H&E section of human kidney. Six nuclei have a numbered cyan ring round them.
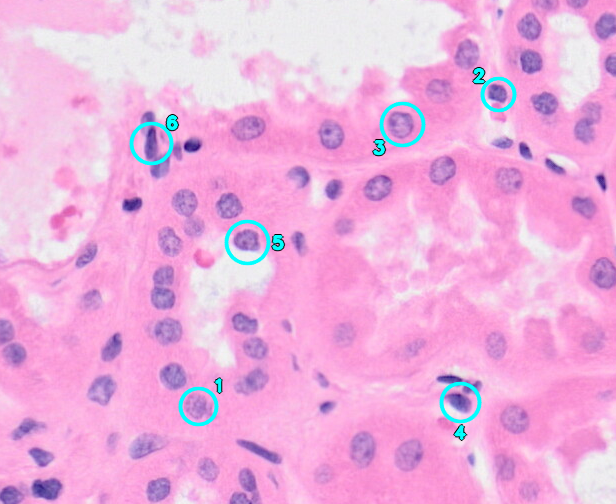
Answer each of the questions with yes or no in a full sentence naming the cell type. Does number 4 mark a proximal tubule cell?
No, the cell at marker 4 is not a proximal tubule cell; it is an endothelial cell.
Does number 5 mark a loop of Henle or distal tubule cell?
Yes, in this tissue section, number 5 is a loop of Henle or distal tubule cell.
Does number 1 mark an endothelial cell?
No, the cell given number 1 is a loop of Henle or distal tubule cell, not an endothelial cell.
